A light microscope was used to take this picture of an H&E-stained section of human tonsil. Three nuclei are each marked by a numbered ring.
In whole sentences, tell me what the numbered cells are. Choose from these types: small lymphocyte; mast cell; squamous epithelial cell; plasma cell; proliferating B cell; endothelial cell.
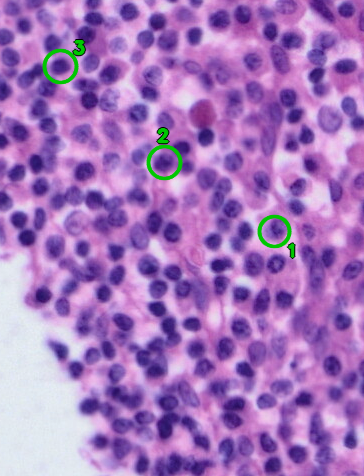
Cell 1 is a plasma cell, cell 2 is a plasma cell and cell 3 is a small lymphocyte.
